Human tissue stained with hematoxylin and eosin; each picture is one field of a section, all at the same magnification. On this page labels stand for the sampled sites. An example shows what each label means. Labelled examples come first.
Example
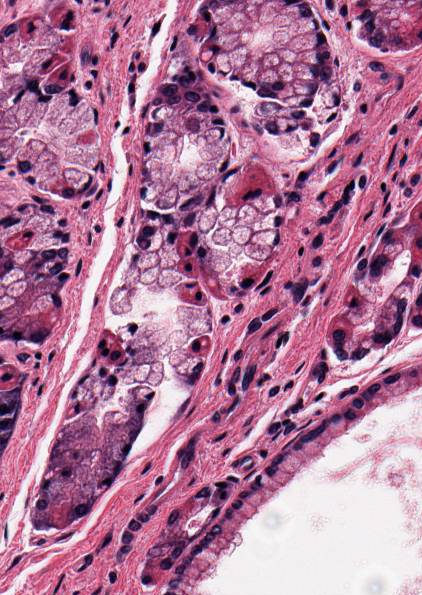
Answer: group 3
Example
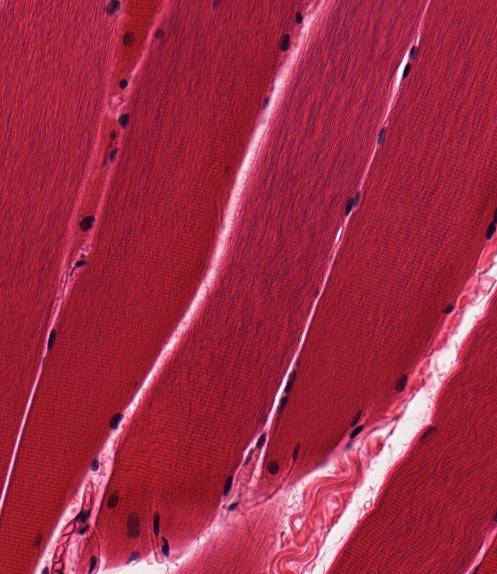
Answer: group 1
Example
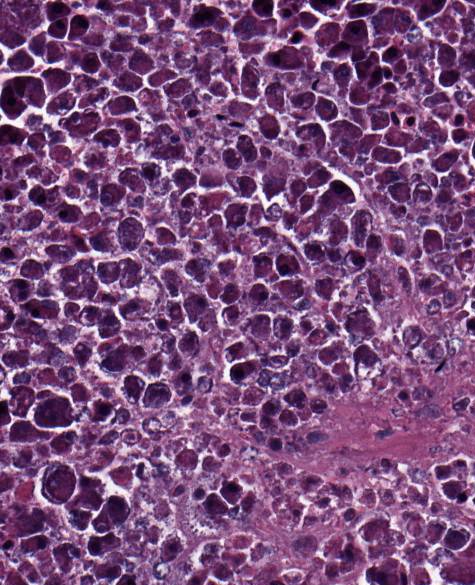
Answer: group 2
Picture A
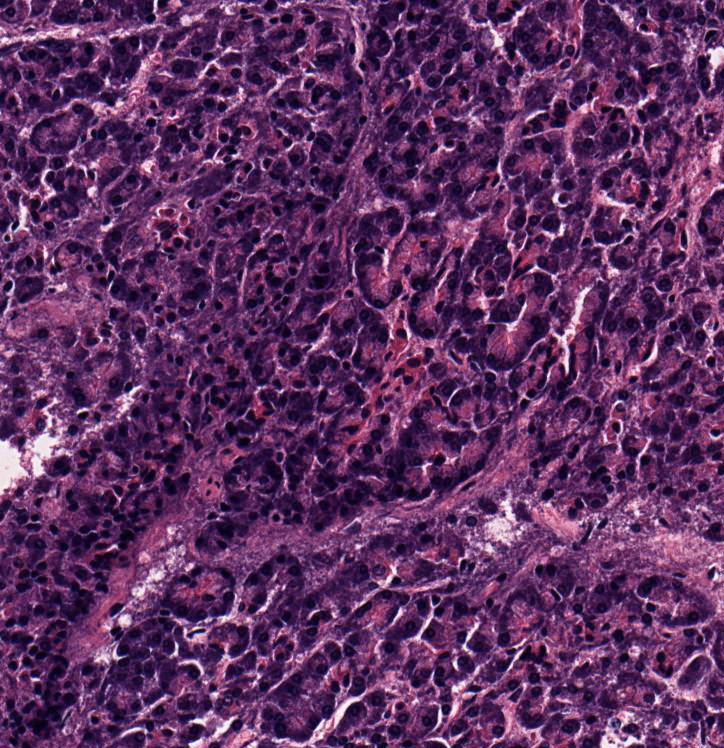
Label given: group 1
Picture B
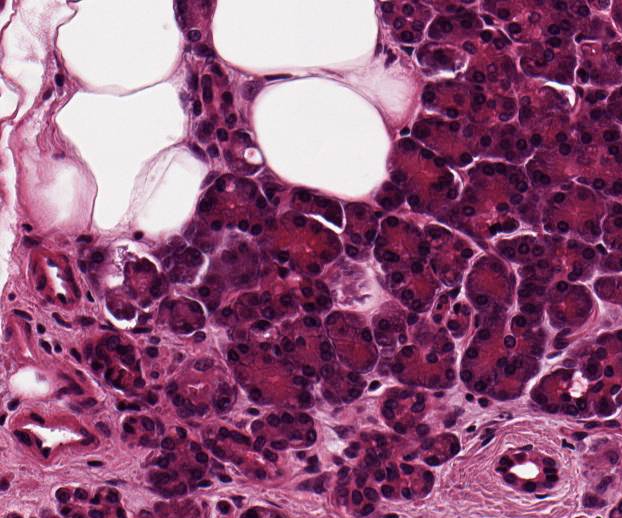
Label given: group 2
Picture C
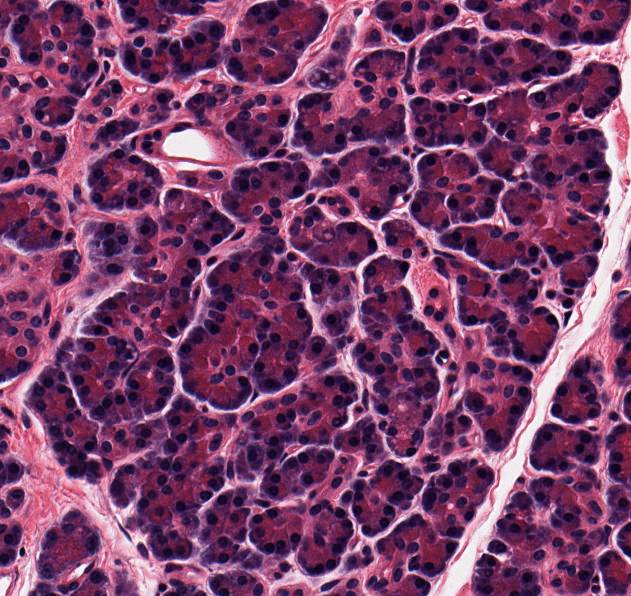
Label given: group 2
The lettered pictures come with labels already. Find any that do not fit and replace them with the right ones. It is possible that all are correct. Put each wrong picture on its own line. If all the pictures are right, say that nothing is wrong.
Wrong: A (group 1); correct: group 2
